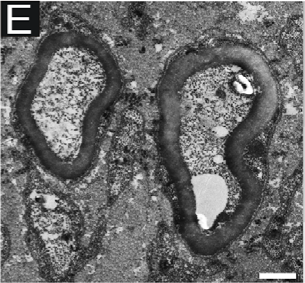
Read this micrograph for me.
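Two myelinated axons are seen side by side in cross-section, each wrapped in a thick, dark, compact myelin sheath. The axoplasm inside is pale and finely granular, and the sheaths follow somewhat irregular, elongated outlines.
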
